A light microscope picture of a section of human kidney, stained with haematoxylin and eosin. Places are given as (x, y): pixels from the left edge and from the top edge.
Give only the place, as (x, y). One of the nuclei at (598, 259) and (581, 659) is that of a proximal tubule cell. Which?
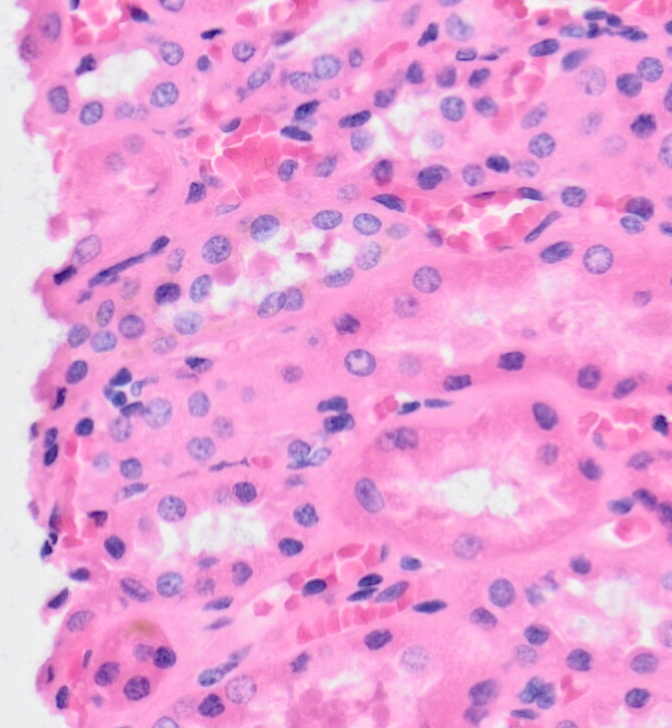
(598, 259)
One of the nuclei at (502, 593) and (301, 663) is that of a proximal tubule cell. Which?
(301, 663)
